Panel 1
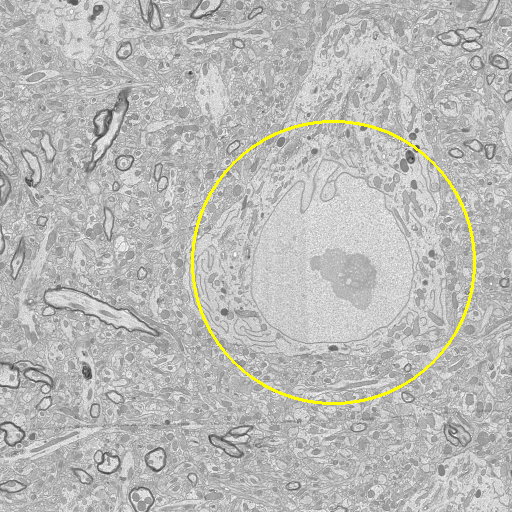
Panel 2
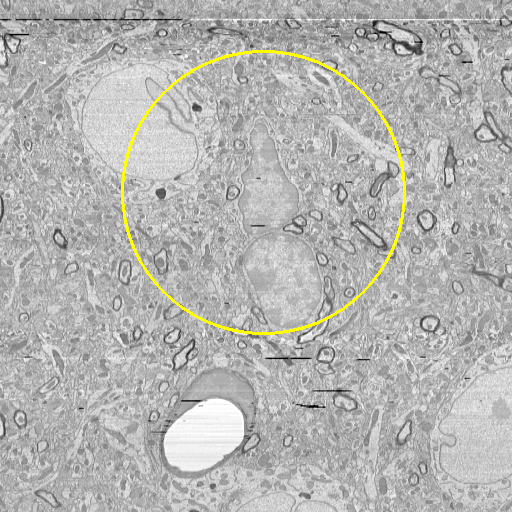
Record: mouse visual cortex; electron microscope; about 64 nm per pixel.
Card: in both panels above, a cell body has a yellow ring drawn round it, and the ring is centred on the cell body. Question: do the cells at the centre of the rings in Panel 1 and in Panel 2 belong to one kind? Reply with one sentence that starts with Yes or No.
No, the cells centred in the rings of Panel 1 and Panel 2 are two kinds of cell.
